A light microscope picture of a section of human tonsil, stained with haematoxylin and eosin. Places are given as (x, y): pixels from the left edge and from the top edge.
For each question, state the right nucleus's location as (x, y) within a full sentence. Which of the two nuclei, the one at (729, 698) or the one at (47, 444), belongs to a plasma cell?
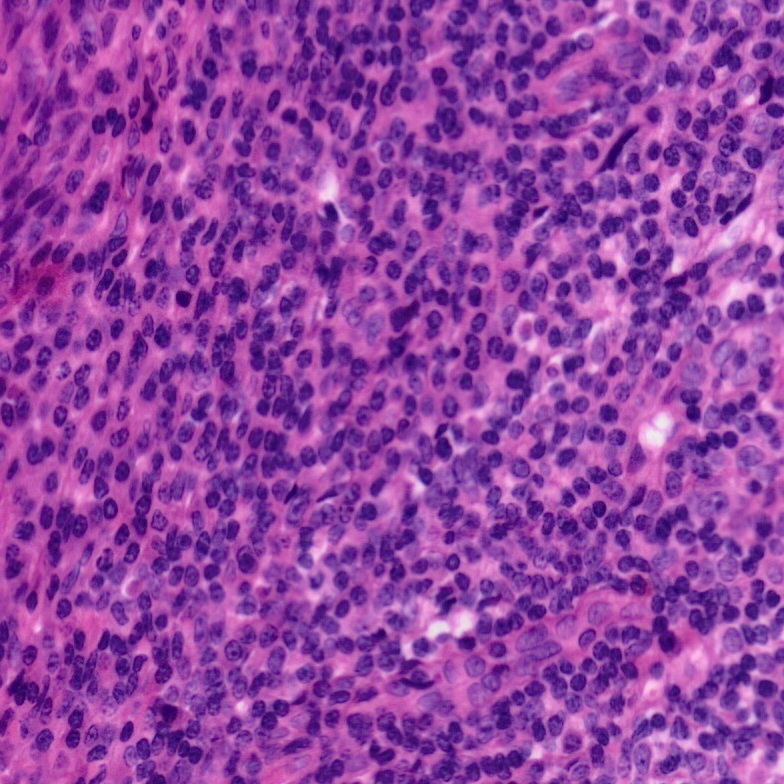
Of the two nuclei, the nucleus belonging to a plasma cell is located at (47, 444).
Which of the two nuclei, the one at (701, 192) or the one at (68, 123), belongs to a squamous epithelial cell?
The one nucleus of the two that belongs to a squamous epithelial cell is at (68, 123).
